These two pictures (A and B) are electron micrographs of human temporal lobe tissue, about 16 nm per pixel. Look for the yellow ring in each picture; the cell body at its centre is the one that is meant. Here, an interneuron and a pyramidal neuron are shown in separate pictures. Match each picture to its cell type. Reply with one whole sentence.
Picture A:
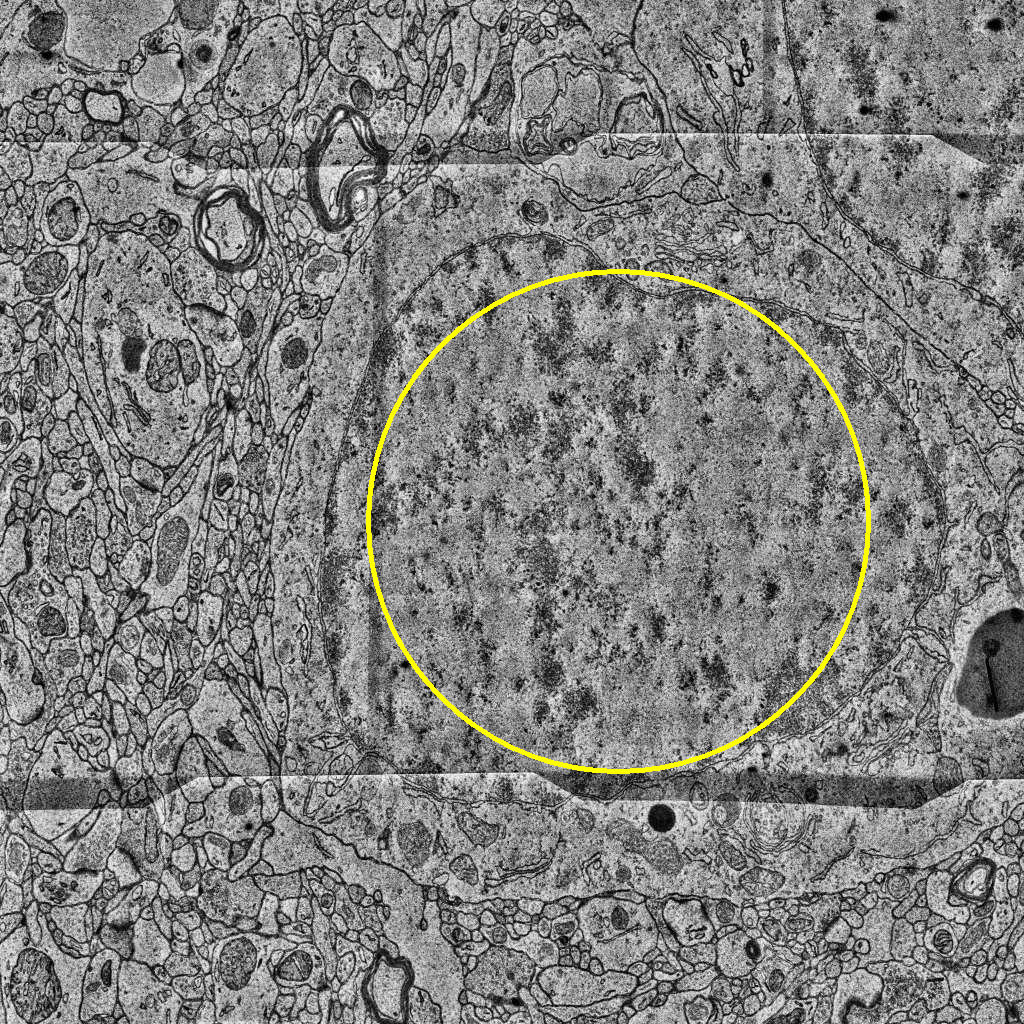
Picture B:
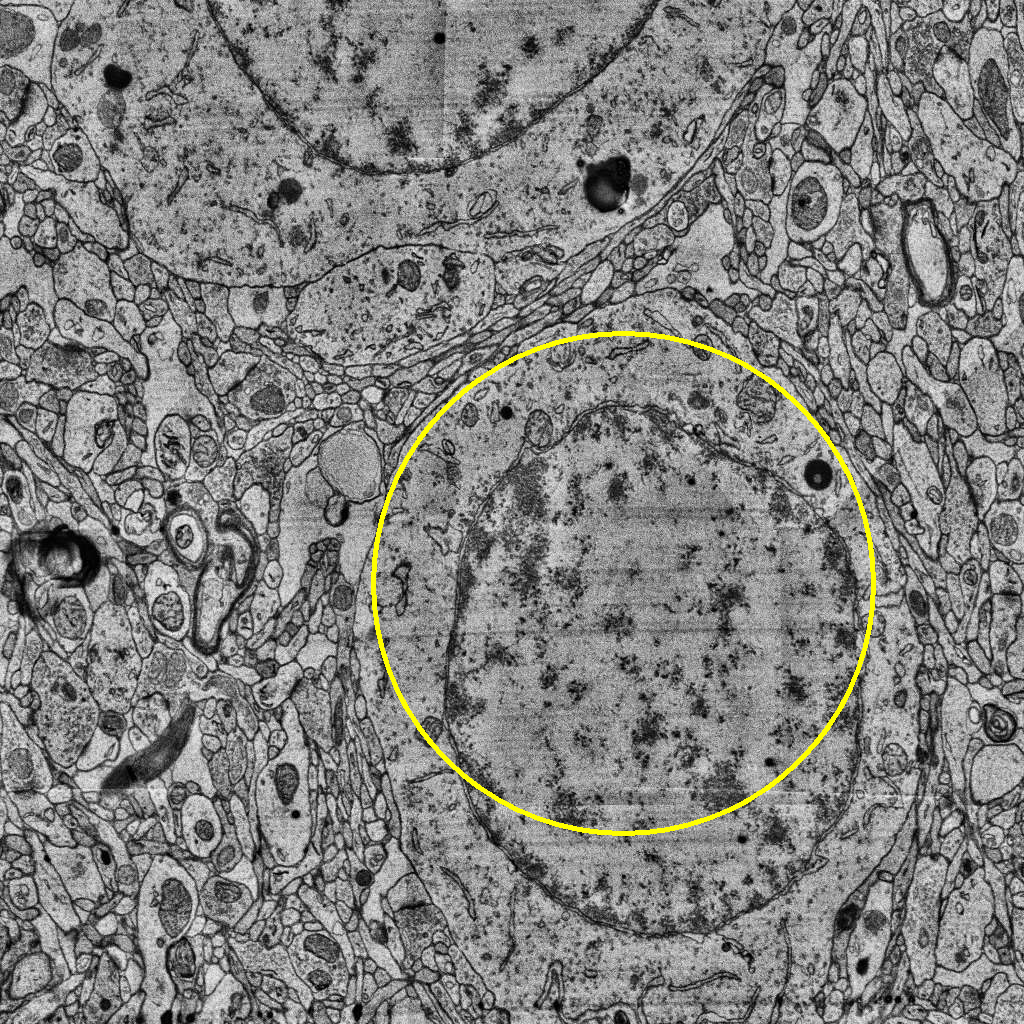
Picture A is of an interneuron, and picture B is of a pyramidal neuron.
